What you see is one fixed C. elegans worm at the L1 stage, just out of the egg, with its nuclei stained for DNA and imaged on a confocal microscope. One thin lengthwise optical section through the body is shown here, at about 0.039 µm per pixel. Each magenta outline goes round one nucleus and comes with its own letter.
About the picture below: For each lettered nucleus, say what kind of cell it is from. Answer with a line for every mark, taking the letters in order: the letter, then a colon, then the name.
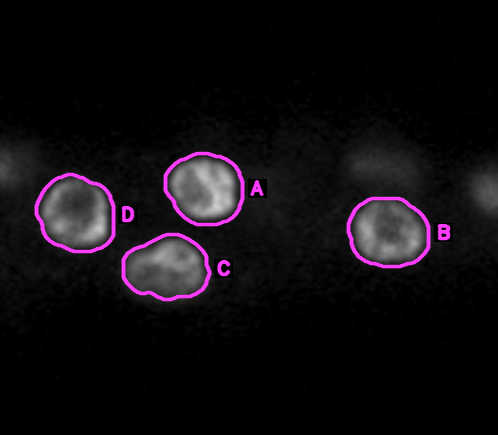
A: P cell (ventral epidermal blast cell)
B: seam cell
C: hypodermal cell (hyp)
D: seam cell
